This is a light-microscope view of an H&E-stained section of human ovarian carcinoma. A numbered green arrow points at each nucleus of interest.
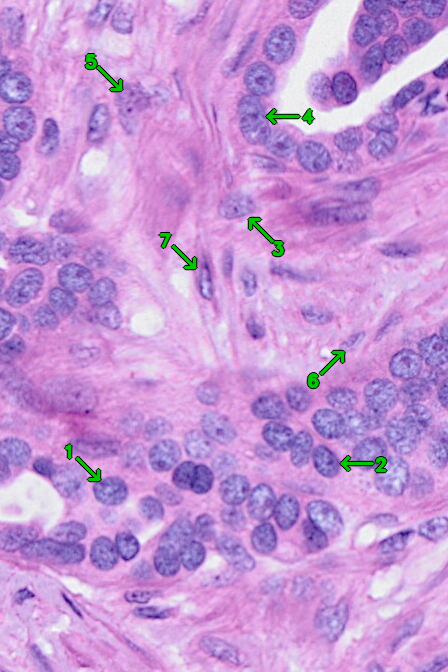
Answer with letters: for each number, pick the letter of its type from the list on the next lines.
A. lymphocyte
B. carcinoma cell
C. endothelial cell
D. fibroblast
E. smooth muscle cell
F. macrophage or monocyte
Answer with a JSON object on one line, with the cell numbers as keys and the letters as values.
{"1": "B", "2": "B", "3": "D", "4": "B", "5": "D", "6": "D", "7": "D"}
